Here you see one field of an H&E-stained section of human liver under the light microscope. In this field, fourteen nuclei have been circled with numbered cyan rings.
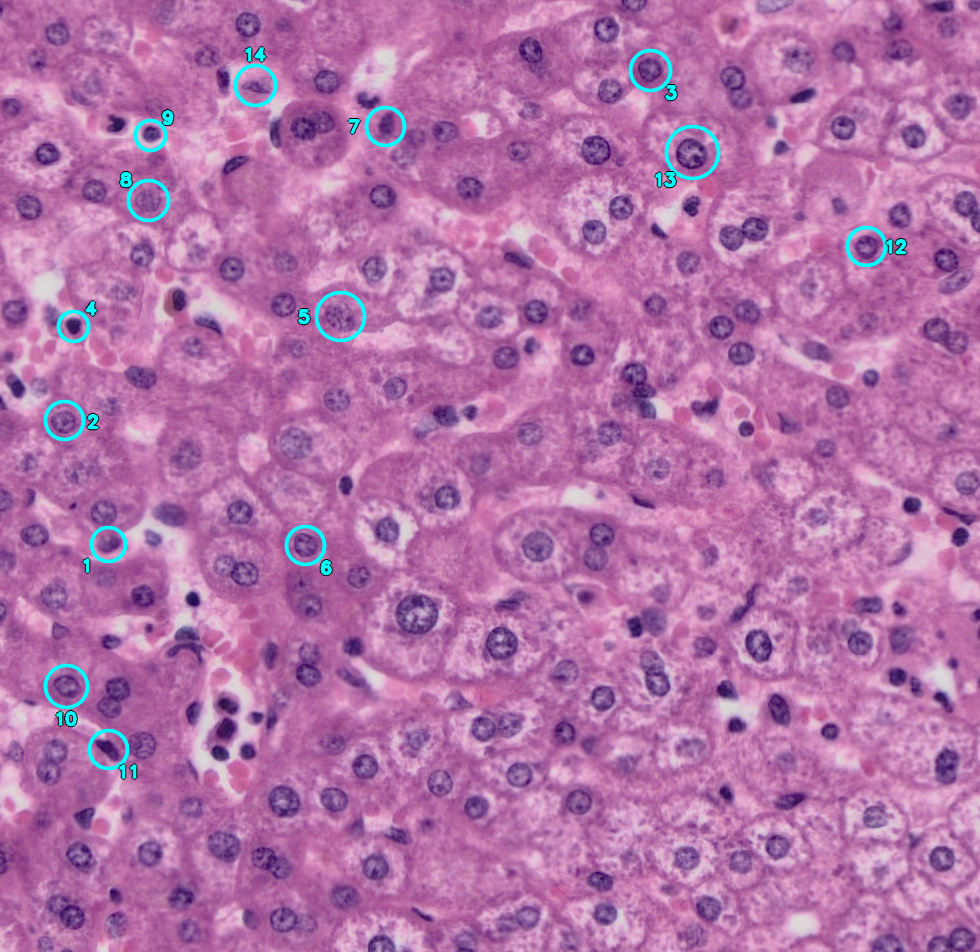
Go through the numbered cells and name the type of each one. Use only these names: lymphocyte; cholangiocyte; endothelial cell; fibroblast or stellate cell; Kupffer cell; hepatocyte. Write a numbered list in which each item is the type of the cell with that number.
1. Kupffer cell
2. hepatocyte
3. hepatocyte
4. lymphocyte
5. hepatocyte
6. hepatocyte
7. fibroblast or stellate cell
8. hepatocyte
9. lymphocyte
10. hepatocyte
11. fibroblast or stellate cell
12. hepatocyte
13. hepatocyte
14. Kupffer cell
